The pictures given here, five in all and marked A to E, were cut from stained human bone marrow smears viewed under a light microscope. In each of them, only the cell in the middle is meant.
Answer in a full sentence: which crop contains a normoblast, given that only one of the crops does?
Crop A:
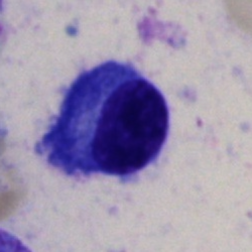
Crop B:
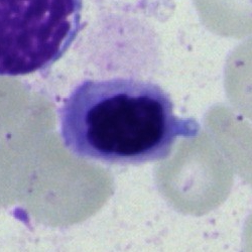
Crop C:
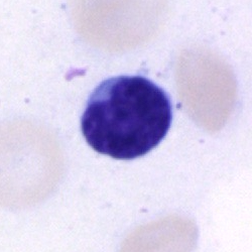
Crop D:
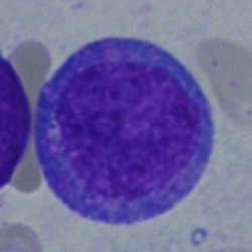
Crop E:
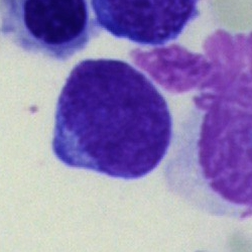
The crop with a normoblast in it is crop B.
